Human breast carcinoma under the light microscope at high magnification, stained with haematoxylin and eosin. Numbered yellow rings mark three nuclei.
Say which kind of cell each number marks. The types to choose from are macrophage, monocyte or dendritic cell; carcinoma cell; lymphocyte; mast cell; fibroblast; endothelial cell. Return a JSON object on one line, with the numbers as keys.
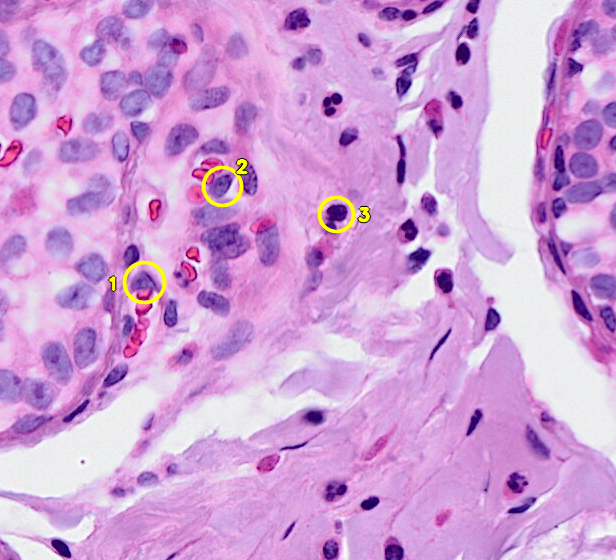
{"1": "endothelial cell", "2": "endothelial cell", "3": "lymphocyte"}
